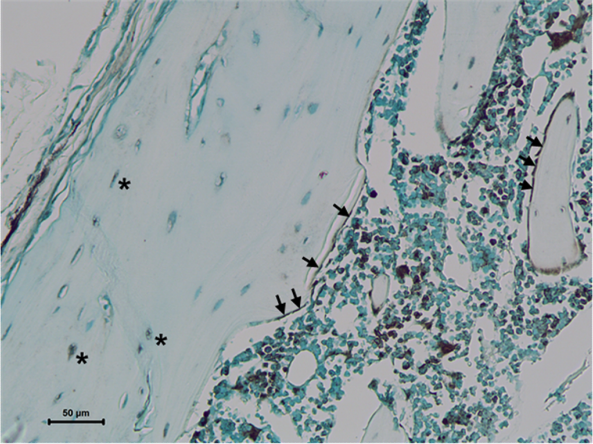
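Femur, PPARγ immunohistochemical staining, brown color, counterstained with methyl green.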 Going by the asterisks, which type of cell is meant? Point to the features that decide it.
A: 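Osteocytes. The asterisks mark small cells scattered within a broad area of pale bone matrix. These cells lie in lacunae away from the bone surface.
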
